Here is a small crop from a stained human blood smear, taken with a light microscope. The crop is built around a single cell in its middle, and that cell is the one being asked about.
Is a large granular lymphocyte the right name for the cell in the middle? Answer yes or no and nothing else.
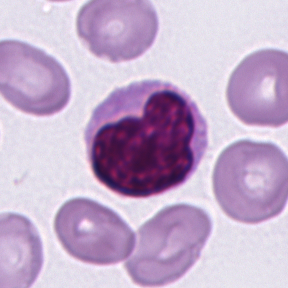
yes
